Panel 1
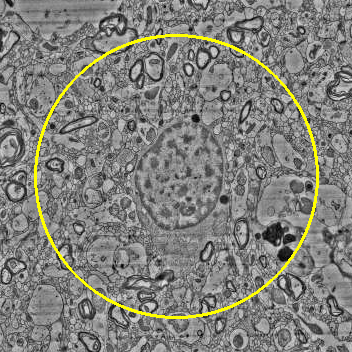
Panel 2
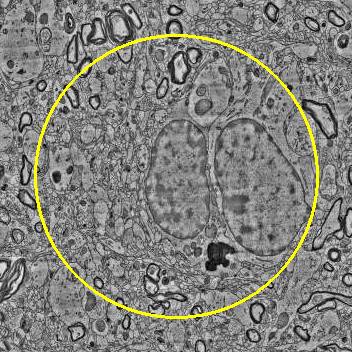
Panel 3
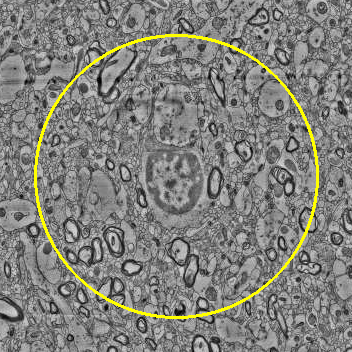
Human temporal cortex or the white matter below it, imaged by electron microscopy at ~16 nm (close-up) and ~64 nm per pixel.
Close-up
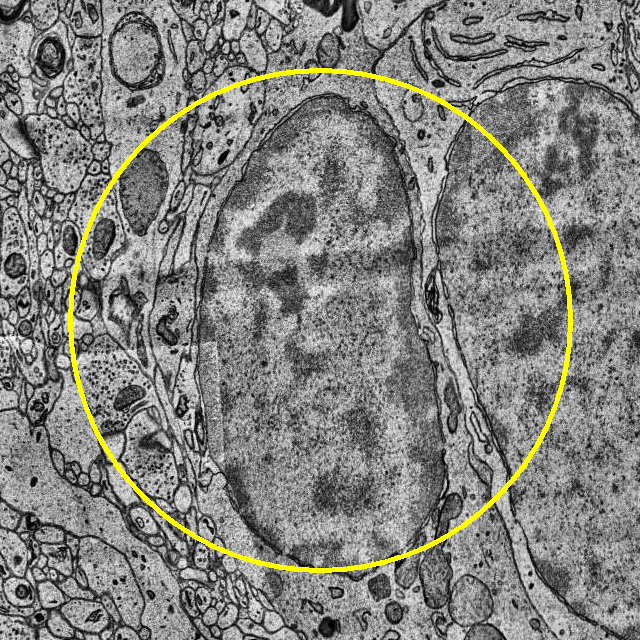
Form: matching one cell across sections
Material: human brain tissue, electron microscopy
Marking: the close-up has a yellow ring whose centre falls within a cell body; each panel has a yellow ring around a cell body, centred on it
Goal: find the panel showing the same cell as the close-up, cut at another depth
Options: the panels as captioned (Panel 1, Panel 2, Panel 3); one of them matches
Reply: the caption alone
Panel 2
